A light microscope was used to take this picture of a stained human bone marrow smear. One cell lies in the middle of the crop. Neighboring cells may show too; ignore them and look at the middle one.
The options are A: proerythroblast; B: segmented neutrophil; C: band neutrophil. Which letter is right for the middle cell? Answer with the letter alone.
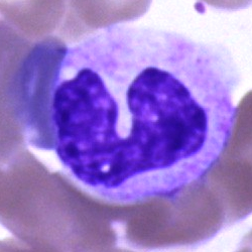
C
